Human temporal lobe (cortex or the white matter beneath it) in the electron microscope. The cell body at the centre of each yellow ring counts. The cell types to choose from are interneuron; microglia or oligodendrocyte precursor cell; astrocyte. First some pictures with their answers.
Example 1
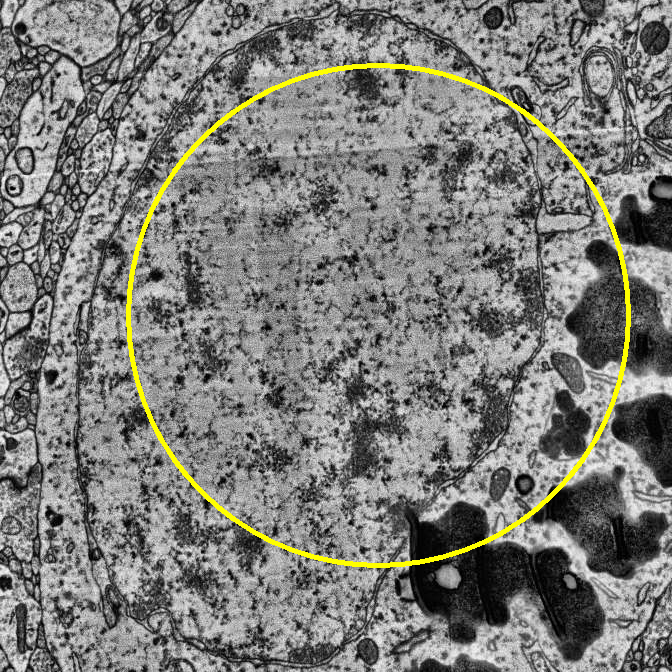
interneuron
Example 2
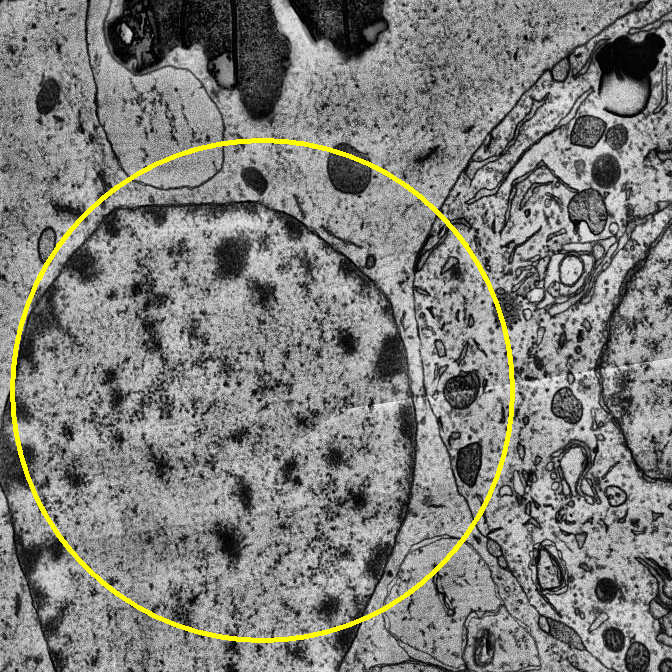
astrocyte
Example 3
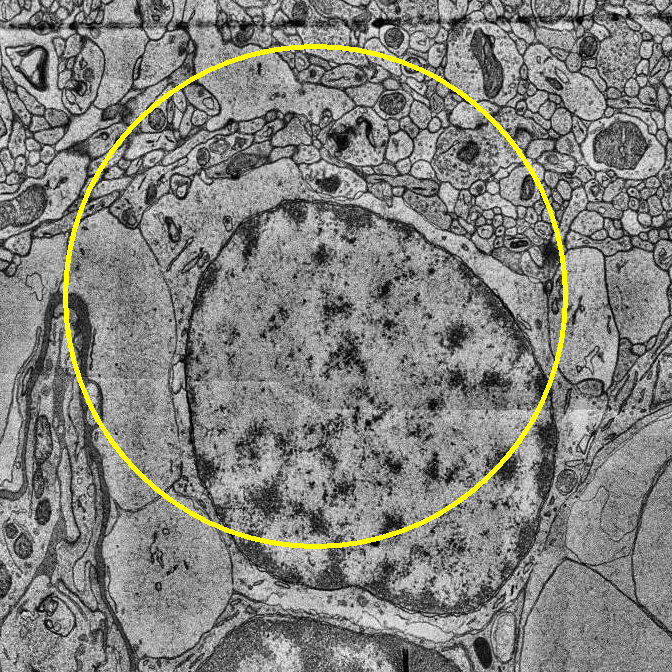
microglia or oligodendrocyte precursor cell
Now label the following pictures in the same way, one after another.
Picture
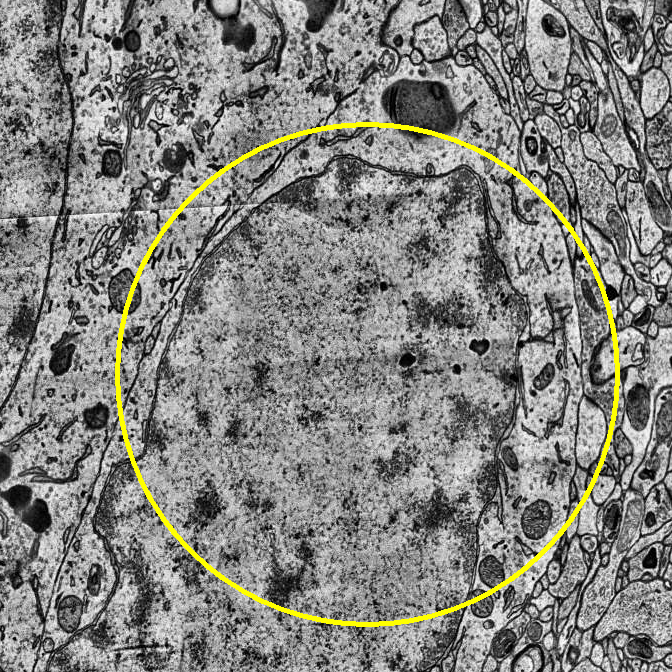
interneuron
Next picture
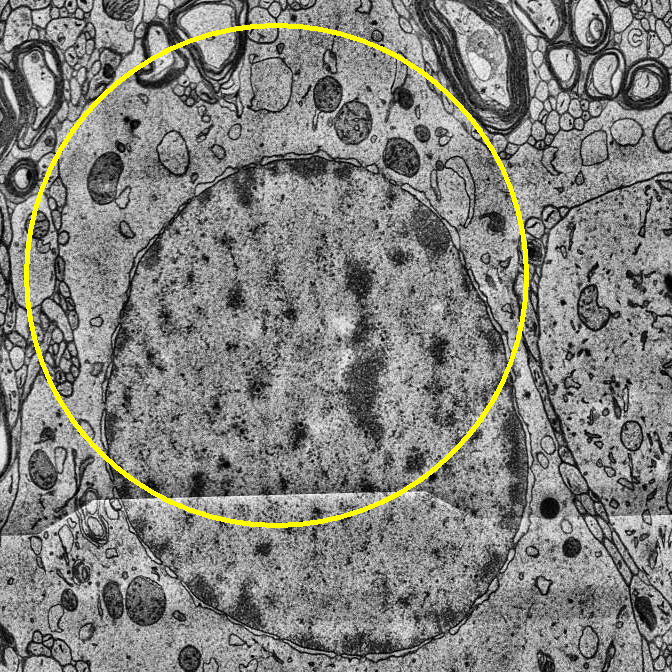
astrocyte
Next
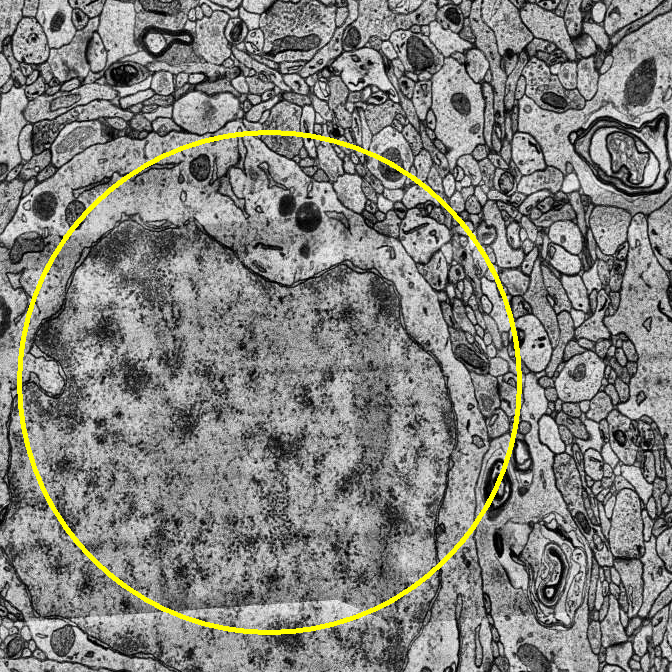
interneuron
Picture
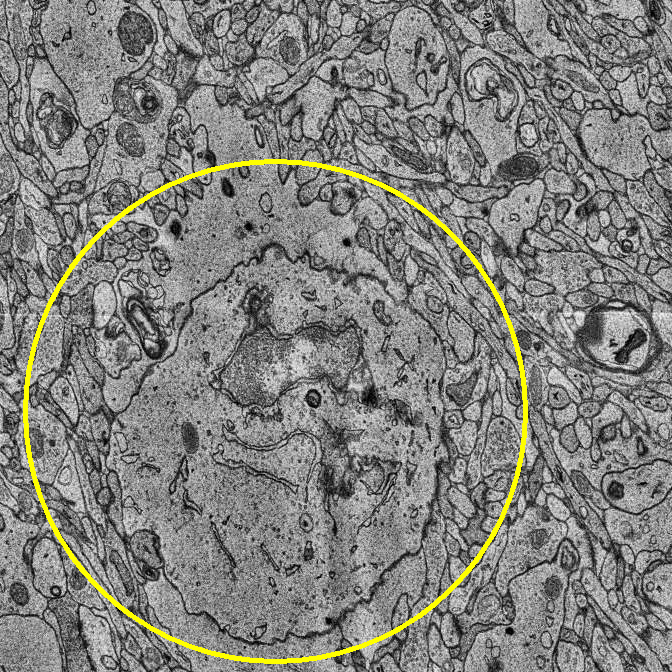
interneuron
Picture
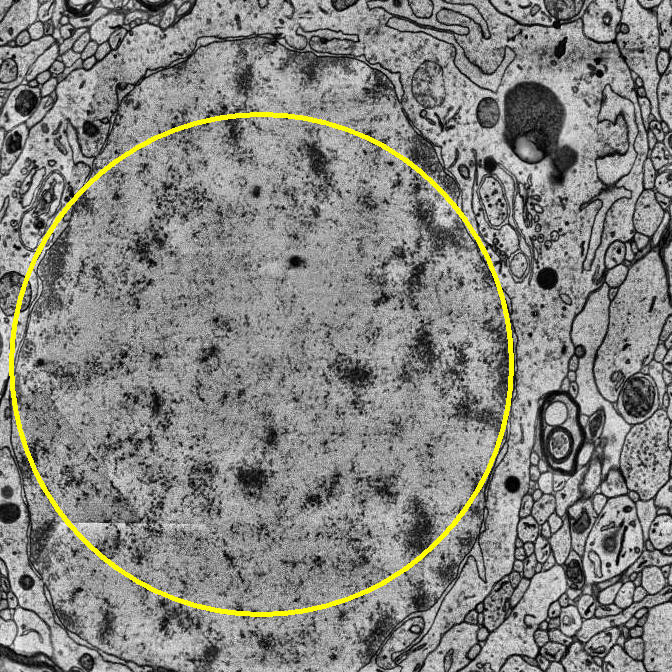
interneuron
